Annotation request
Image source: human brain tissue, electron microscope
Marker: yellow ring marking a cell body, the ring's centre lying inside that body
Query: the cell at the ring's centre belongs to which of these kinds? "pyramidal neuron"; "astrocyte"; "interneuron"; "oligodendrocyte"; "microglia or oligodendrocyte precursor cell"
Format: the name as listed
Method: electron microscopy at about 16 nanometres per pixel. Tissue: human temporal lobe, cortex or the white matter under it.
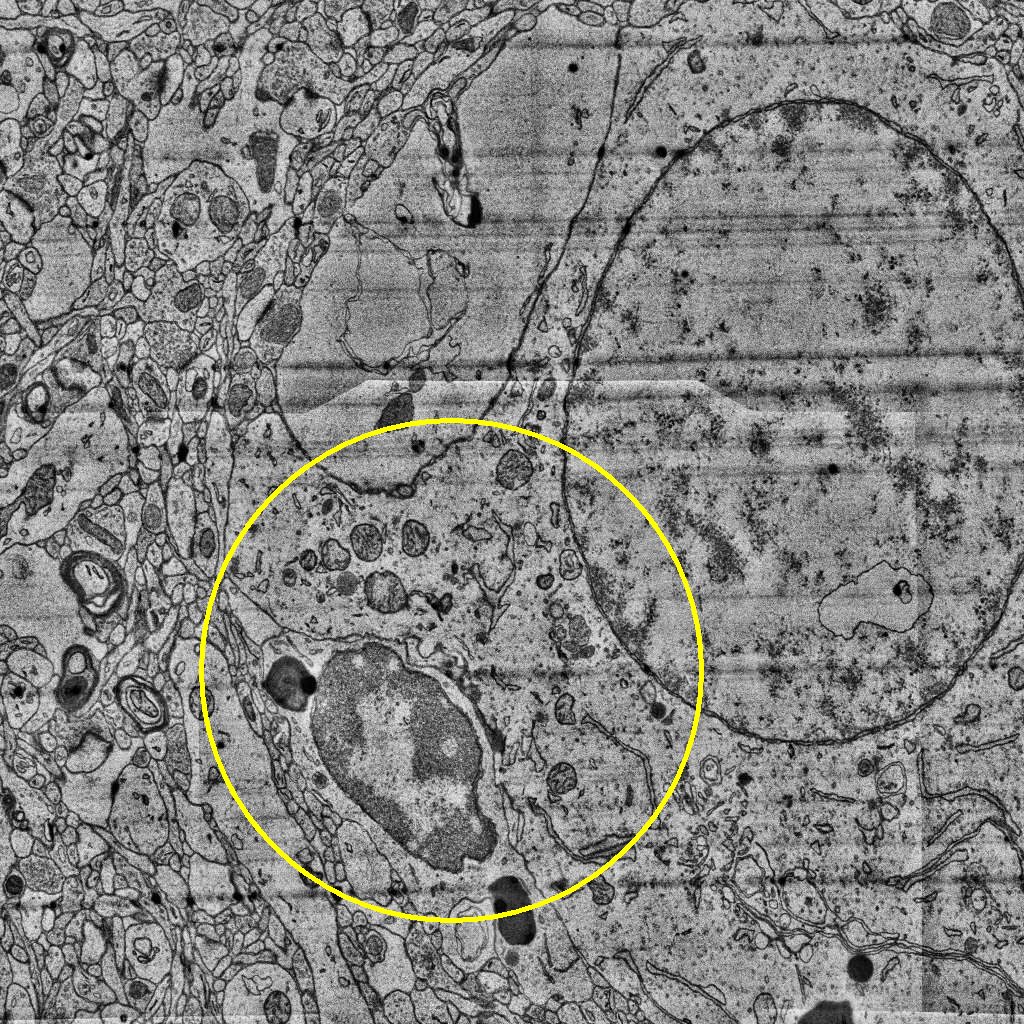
microglia or oligodendrocyte precursor cell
